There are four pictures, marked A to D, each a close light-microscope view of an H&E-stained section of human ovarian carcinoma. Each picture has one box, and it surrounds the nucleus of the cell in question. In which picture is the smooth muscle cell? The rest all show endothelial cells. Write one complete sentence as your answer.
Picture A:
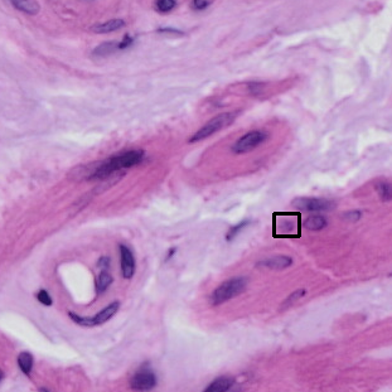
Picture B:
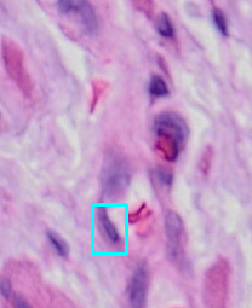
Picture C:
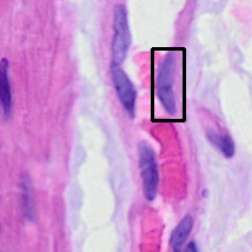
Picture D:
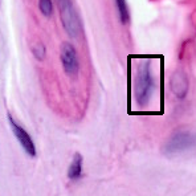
The picture with the smooth muscle cell is A.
